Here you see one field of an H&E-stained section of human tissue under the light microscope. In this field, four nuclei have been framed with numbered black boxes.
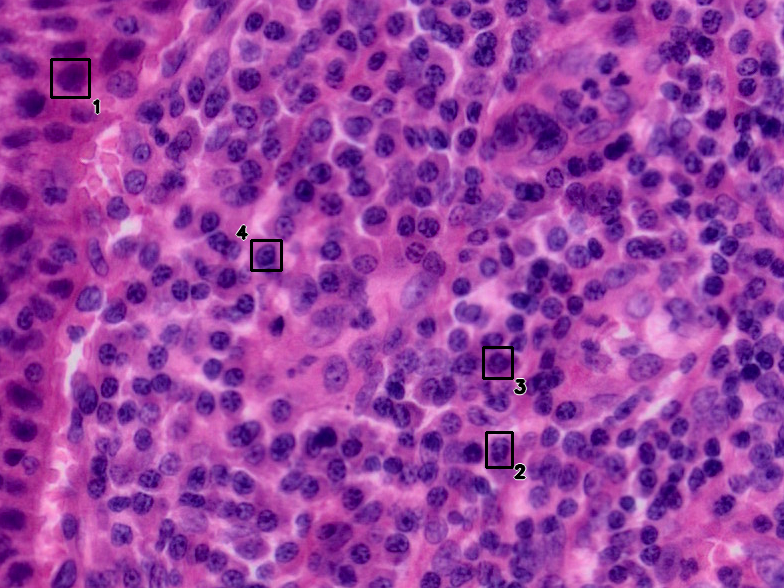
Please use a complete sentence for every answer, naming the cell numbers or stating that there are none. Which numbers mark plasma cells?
Cells 2, 3 and 4 in the section are typed as plasma cells.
